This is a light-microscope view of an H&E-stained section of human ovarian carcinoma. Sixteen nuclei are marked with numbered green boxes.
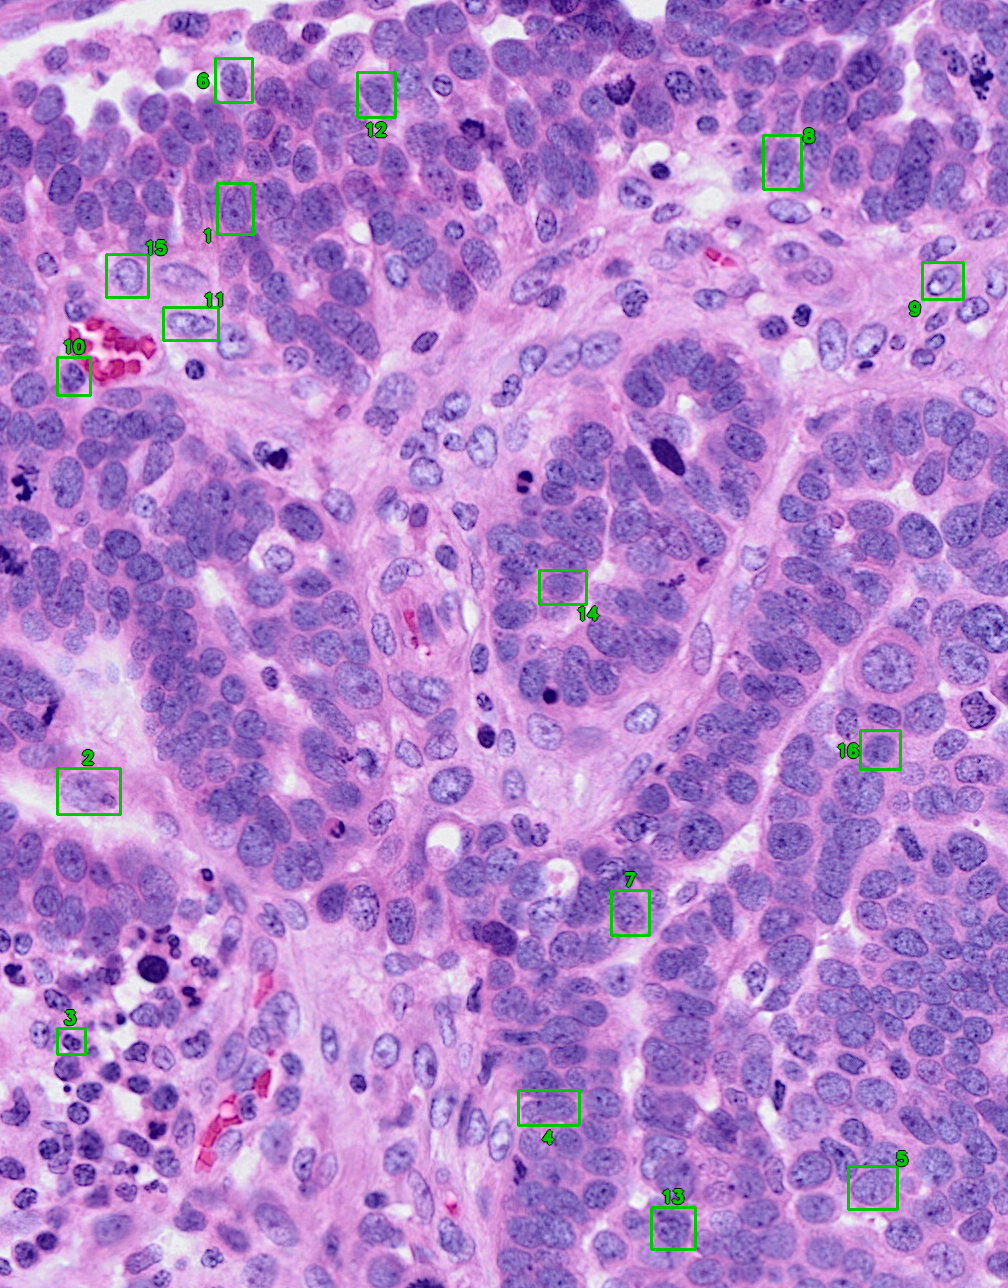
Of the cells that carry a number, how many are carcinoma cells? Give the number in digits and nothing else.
9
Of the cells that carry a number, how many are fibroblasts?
4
